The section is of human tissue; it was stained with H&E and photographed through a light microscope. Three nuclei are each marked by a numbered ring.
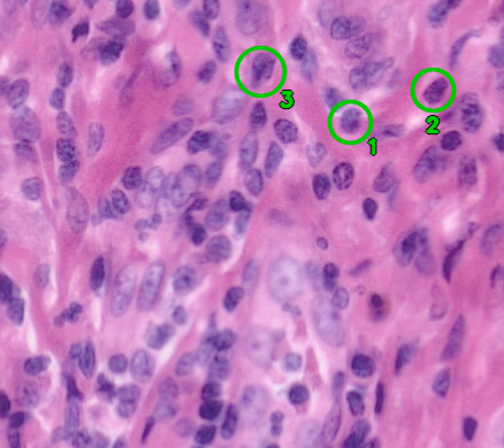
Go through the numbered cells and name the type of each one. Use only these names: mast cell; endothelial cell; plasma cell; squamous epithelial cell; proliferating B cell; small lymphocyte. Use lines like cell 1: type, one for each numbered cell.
cell 1: mast cell
cell 2: mast cell
cell 3: endothelial cell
